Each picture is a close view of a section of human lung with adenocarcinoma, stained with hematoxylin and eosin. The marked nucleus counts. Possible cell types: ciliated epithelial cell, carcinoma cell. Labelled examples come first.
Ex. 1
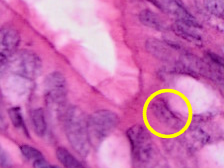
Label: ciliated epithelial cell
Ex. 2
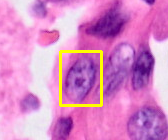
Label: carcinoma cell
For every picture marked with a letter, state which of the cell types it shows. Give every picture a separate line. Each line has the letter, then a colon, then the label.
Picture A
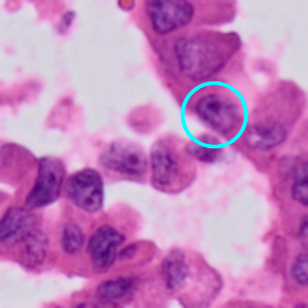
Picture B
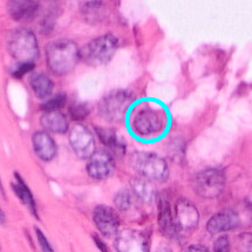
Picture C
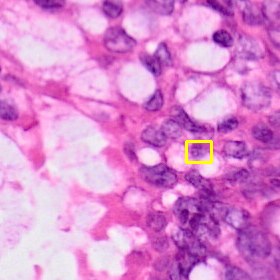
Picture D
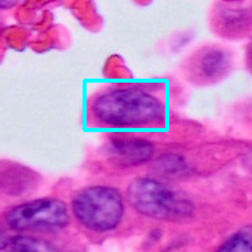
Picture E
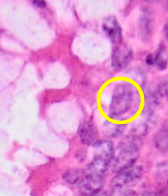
A: carcinoma cell
B: ciliated epithelial cell
C: ciliated epithelial cell
D: carcinoma cell
E: ciliated epithelial cell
